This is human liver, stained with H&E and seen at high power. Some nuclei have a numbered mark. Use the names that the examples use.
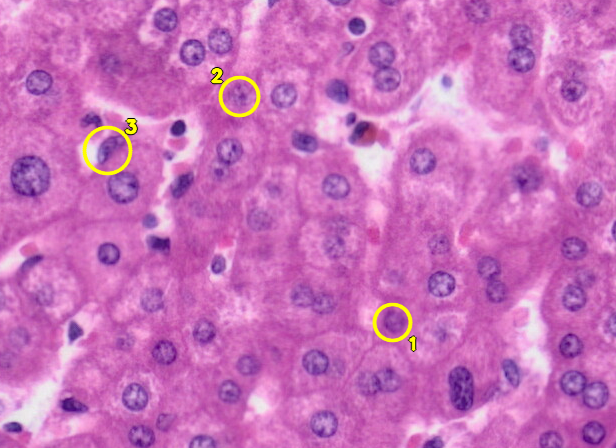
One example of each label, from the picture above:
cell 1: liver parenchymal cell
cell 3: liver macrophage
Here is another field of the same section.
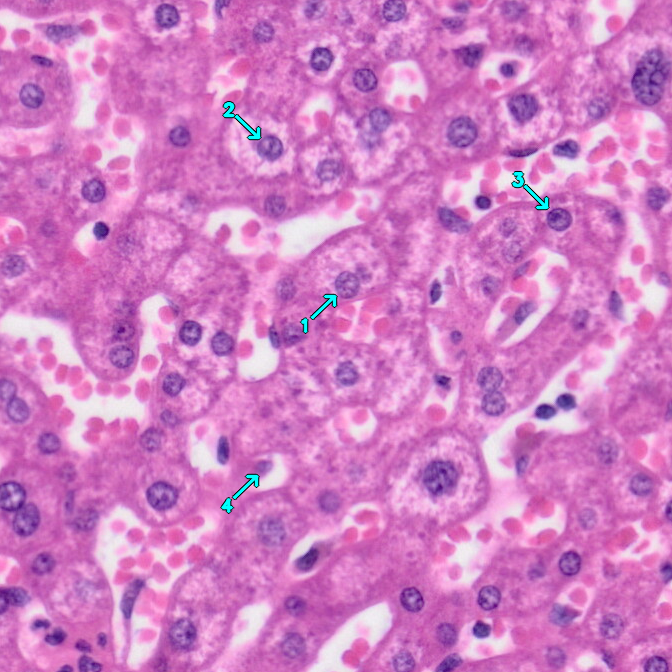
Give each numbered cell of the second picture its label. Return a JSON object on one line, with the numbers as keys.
{"1": "liver parenchymal cell", "2": "liver parenchymal cell", "3": "liver parenchymal cell", "4": "liver macrophage"}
